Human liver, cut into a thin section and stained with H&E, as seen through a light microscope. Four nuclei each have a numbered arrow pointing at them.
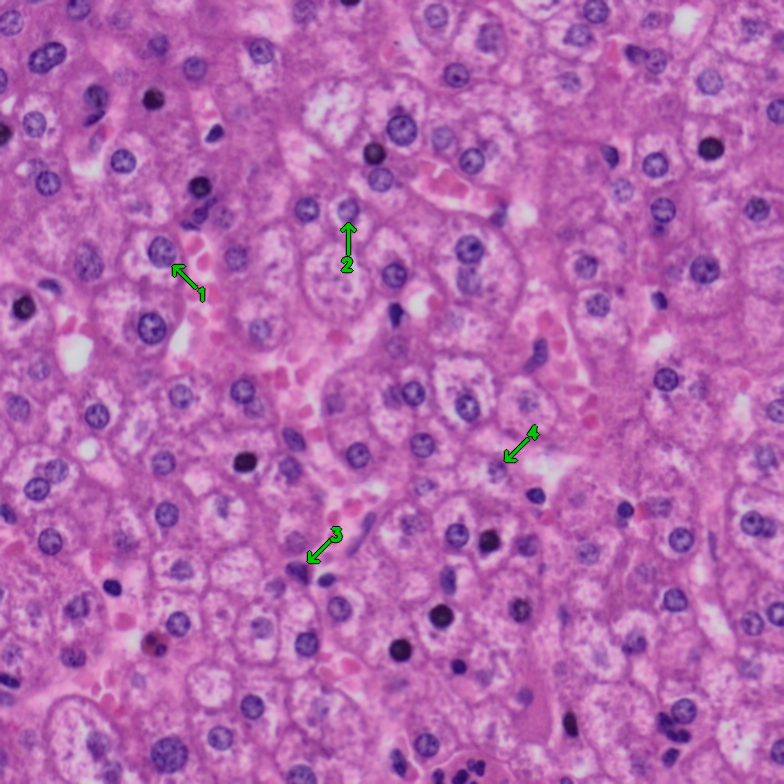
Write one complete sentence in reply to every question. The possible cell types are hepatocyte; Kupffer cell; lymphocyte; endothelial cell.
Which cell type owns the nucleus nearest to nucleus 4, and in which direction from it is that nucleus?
Lying below and to the right of nucleus 4, the nearest nucleus is that of a lymphocyte.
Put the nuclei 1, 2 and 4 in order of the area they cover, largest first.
By area, largest first, they run 1, 2, 4.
